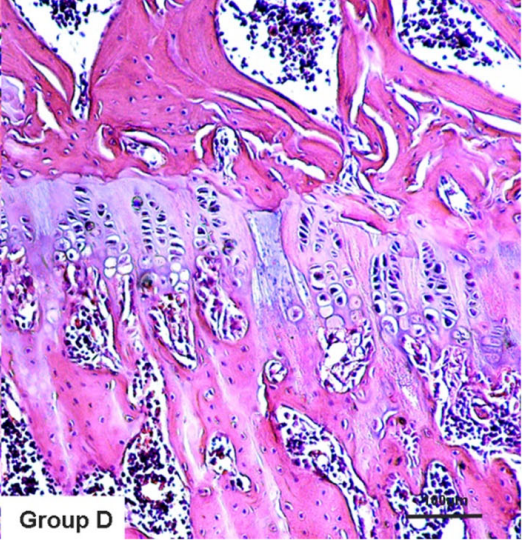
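This growth plate cartilage lies beneath thick pink bone, but the band of chondrocytes is thin and broken up. The cells form only short, irregular groups rather than long orderly columns. Broad pink matrix and marrow spaces cut into the cartilage, so its pale purple matrix appears only in patches. Below, thick pink trabeculae with scattered cells fill much of the field.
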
